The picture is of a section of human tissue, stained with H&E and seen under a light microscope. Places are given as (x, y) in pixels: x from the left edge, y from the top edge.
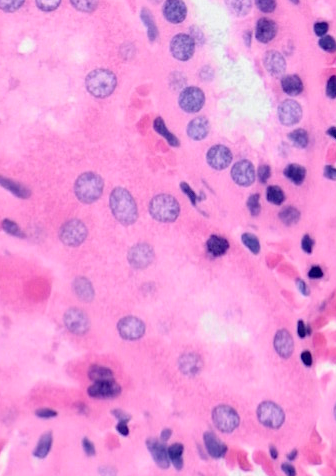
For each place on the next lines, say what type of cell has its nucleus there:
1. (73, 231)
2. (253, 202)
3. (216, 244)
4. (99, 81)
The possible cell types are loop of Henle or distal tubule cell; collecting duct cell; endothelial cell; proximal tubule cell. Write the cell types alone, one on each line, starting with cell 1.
proximal tubule cell
collecting duct cell
proximal tubule cell
proximal tubule cell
